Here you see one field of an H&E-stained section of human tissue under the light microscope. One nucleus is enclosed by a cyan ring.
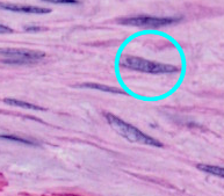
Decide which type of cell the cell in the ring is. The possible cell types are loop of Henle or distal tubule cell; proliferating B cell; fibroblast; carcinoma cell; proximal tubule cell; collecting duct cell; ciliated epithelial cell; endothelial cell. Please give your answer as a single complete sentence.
In cellular terms, the cell in the ring is a fibroblast.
